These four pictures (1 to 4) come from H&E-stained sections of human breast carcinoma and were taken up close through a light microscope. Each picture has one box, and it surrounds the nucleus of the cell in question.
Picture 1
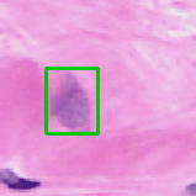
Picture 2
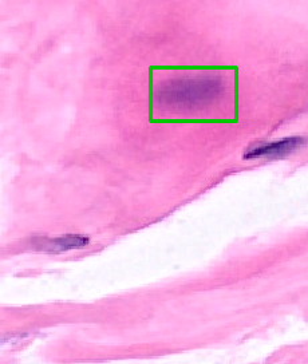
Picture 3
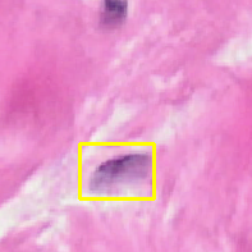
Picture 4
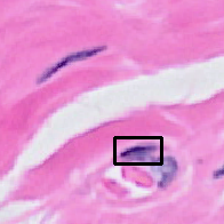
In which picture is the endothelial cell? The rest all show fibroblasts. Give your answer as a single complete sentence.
Picture 4 is the one that shows the endothelial cell.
